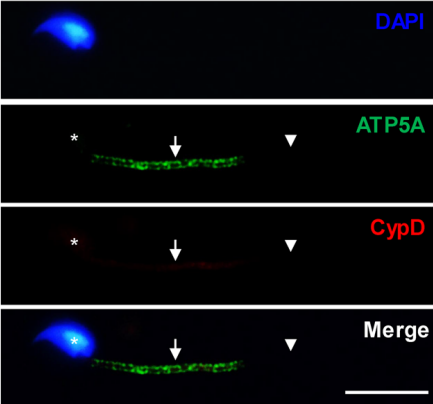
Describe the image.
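A single spermatozoon is shown in a stack of strips, its hook-shaped head nucleus stained blue. The midpiece behind the head is marked by a beaded green strand, while the red strip is almost dark, so the merged image shows mainly green along the midpiece. The rest of the tail is not stained.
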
